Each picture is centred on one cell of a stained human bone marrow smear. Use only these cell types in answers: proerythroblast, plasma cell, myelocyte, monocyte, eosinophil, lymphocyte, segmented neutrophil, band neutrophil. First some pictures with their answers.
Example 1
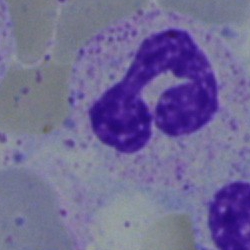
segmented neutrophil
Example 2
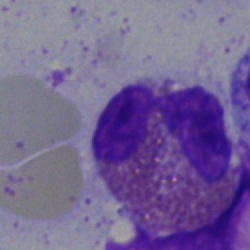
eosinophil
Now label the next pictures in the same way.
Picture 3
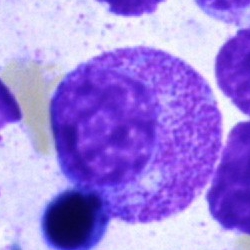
myelocyte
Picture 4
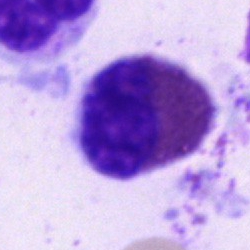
eosinophil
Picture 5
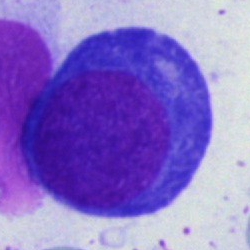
proerythroblast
